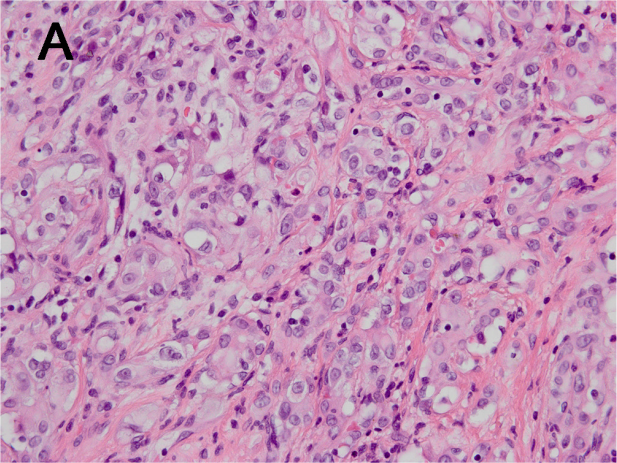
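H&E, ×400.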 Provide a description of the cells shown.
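Medium-sized epithelioid cells lie in small clusters and short cords separated by strands of pink fibrous stroma. The cells are polygonal, with a moderate amount of pale pink to partly clear cytoplasm, and several contain clear vacuole-like spaces. Their nuclei are round to oval, vesicular, and many show a distinct nucleolus. Between the clusters are scattered smaller cells with dark, compact nuclei. A few red blood cells are seen in small spaces. Overall atypia appears modest, with fairly uniform nuclei and no marked pleomorphism.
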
